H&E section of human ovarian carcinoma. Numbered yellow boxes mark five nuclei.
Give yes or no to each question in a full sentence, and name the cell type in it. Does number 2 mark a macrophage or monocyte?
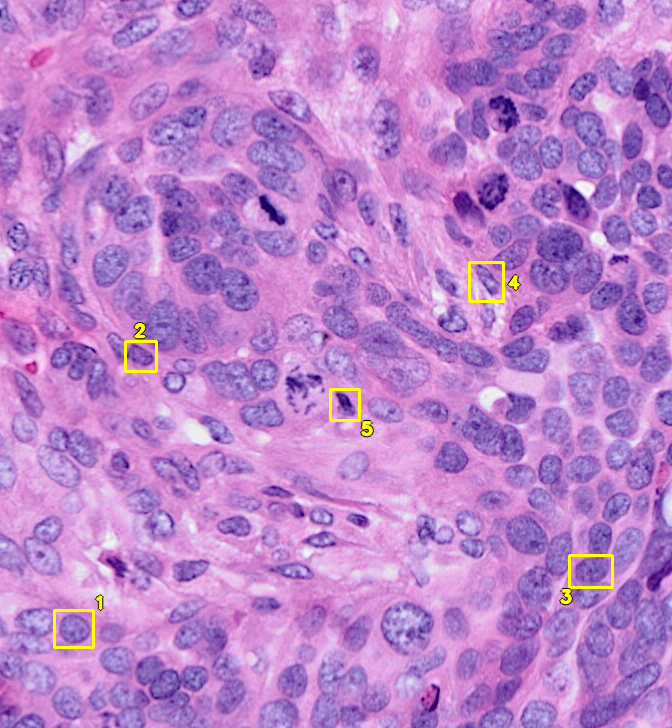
Yes, exactly, the cell numbered 2 is a macrophage or monocyte.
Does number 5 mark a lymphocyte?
Yes, regarding cell number 5, it is a lymphocyte.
